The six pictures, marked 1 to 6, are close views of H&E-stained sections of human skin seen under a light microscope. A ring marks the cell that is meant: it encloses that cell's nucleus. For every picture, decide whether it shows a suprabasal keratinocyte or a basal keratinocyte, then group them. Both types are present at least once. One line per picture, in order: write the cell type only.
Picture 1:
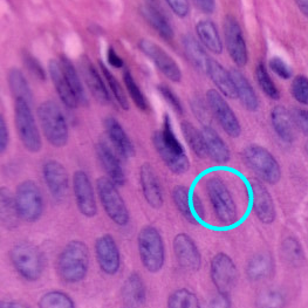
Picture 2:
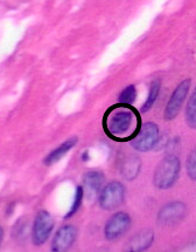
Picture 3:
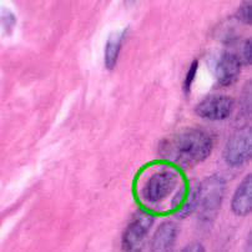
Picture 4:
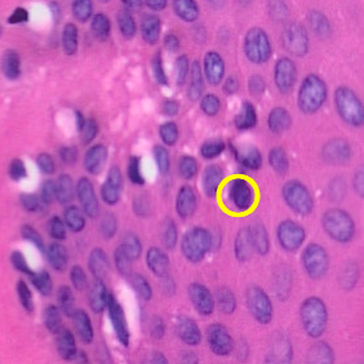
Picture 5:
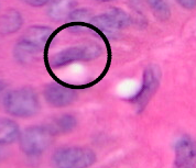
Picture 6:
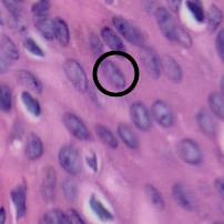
suprabasal keratinocyte
basal keratinocyte
basal keratinocyte
basal keratinocyte
basal keratinocyte
suprabasal keratinocyte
